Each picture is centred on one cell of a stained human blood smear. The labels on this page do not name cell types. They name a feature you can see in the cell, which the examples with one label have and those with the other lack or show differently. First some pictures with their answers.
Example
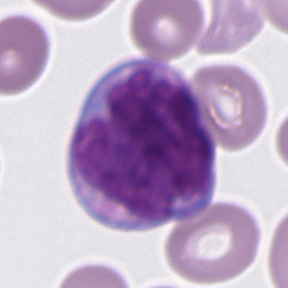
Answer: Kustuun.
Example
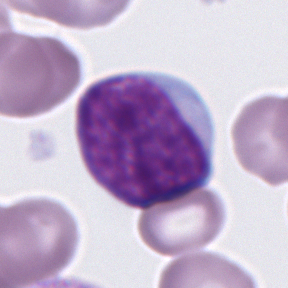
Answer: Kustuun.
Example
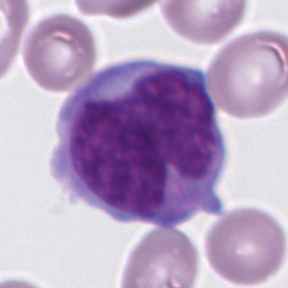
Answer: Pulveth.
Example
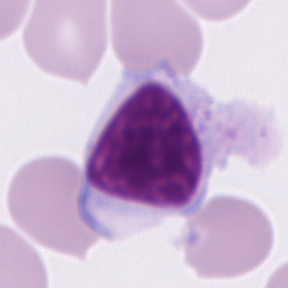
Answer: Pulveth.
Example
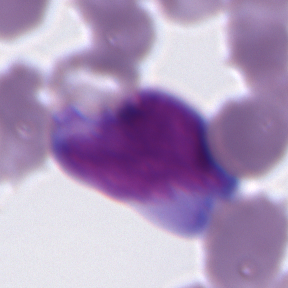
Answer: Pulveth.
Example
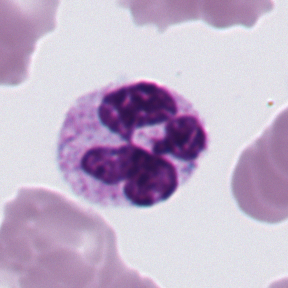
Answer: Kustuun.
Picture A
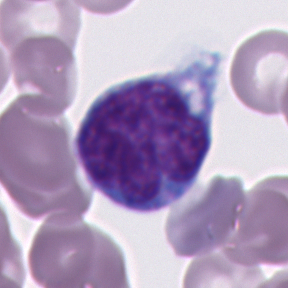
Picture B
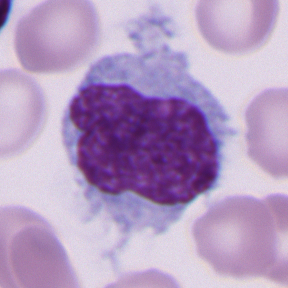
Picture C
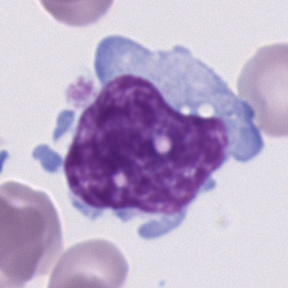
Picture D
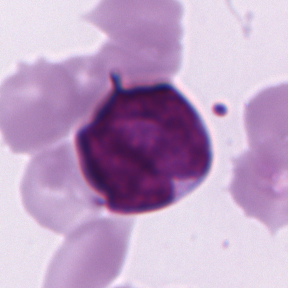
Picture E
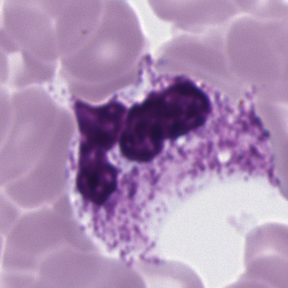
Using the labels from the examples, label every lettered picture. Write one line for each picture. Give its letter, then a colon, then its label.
A: Pulveth.
B: Pulveth.
C: Pulveth.
D: Pulveth.
E: Pulveth.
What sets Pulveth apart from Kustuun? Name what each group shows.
Pulveth: ragged outline or projections; Kustuun: smooth outline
